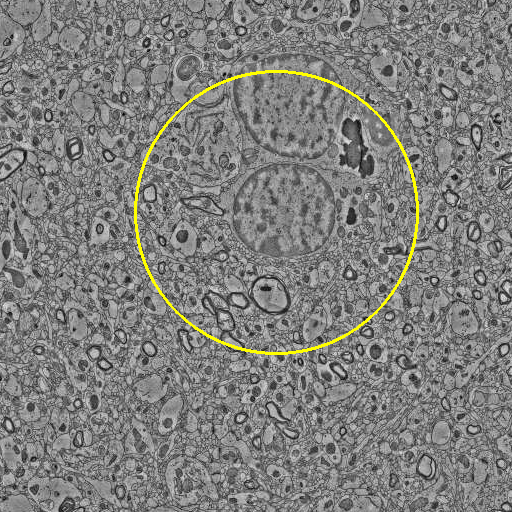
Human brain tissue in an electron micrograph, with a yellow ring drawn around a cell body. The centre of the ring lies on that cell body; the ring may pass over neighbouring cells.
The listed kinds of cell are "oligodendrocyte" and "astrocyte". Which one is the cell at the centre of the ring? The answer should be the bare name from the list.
oligodendrocyte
